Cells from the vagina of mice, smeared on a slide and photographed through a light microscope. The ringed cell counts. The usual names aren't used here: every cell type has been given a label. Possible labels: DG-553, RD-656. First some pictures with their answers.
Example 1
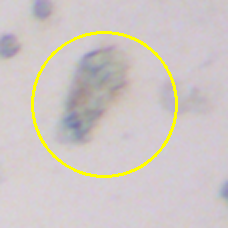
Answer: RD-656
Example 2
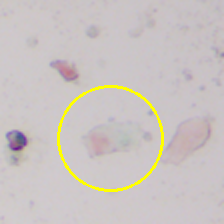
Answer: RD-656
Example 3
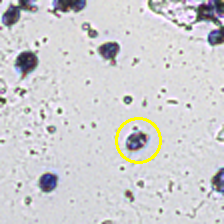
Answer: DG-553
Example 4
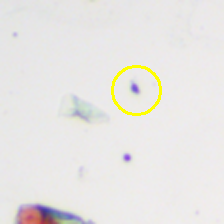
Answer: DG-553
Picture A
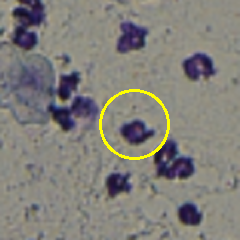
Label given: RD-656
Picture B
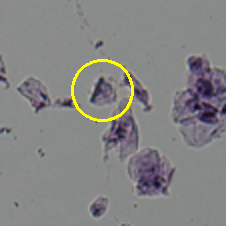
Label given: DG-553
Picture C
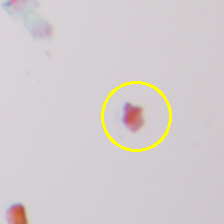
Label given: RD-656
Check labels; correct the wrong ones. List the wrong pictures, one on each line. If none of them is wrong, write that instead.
A is labelled RD-656; correct label: DG-553
B is labelled DG-553; correct label: RD-656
